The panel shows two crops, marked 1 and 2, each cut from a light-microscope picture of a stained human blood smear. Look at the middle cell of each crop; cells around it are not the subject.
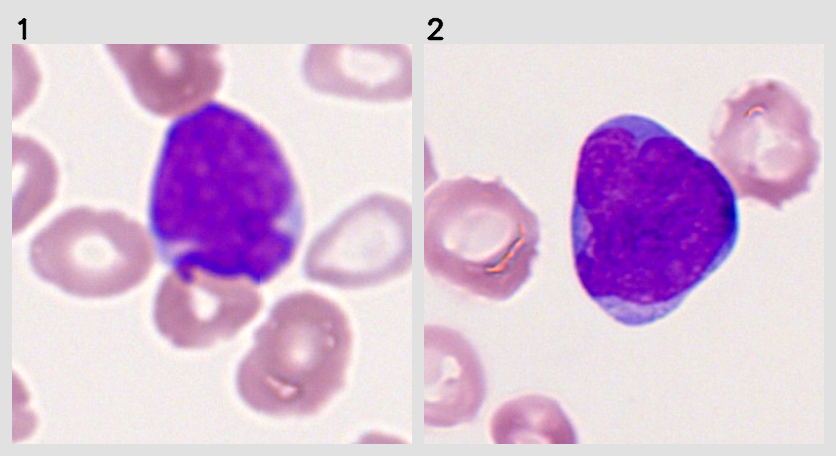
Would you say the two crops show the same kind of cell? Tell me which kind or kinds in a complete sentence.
Yes, the cells centred in the two crops are both blasts.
